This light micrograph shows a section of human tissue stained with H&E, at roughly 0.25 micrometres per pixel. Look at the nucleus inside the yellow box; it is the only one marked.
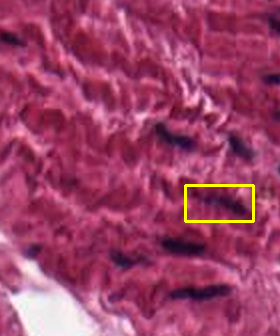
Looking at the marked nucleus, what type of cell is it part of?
smooth muscle cell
